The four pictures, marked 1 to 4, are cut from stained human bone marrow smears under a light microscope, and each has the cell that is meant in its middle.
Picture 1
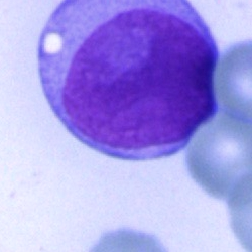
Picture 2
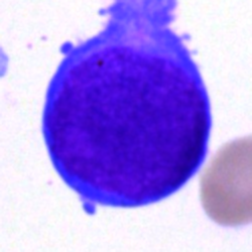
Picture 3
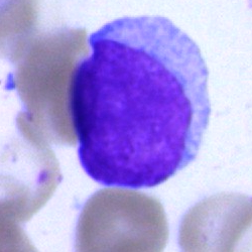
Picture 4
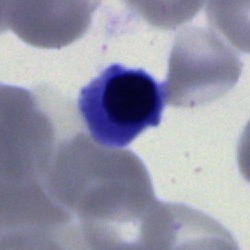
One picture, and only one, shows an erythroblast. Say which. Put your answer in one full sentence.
The cell in picture 4 is the erythroblast.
